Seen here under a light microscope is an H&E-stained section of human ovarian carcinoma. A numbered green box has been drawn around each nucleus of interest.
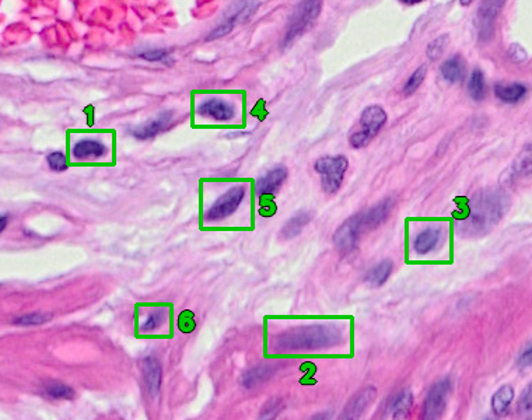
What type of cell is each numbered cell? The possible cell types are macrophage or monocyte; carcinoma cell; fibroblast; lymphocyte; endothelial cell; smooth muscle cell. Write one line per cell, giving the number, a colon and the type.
1: lymphocyte
2: smooth muscle cell
3: lymphocyte
4: lymphocyte
5: fibroblast
6: endothelial cell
